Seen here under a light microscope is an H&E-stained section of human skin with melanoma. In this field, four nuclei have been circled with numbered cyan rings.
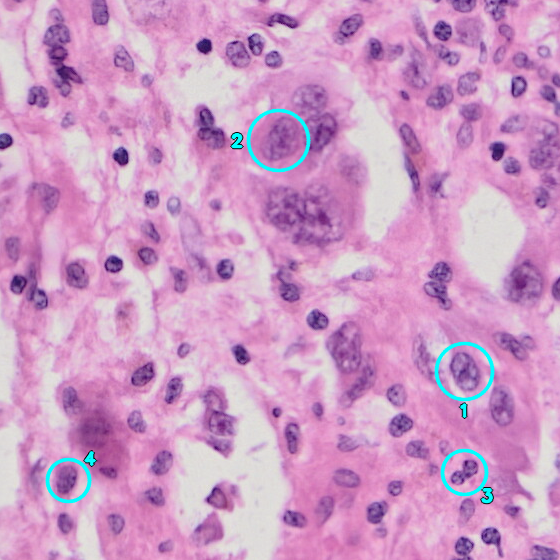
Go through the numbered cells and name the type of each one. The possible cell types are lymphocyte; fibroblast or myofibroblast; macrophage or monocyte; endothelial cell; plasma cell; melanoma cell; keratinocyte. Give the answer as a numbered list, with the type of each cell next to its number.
1. melanoma cell
2. melanoma cell
3. lymphocyte
4. macrophage or monocyte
